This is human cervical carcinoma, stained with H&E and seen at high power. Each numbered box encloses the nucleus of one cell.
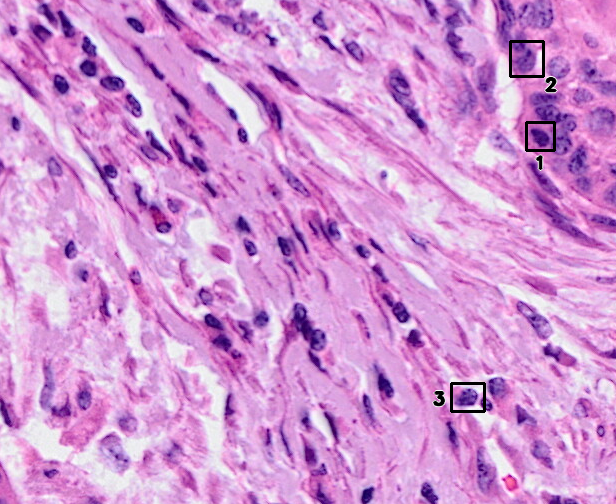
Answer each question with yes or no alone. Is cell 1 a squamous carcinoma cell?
yes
